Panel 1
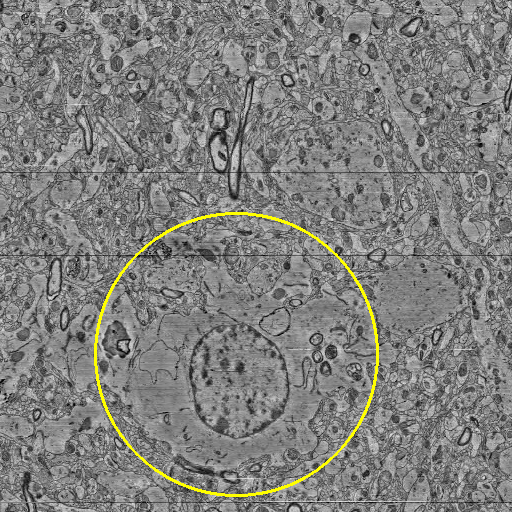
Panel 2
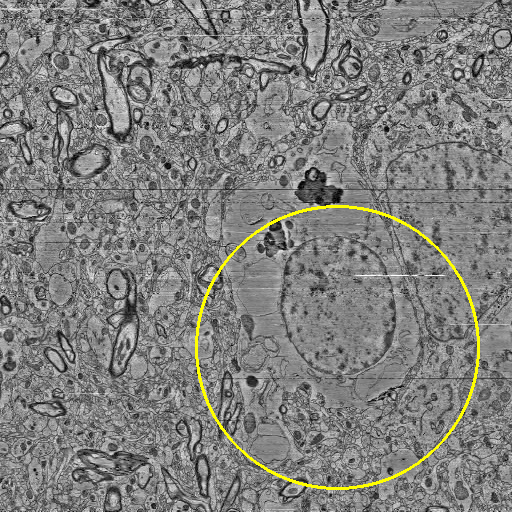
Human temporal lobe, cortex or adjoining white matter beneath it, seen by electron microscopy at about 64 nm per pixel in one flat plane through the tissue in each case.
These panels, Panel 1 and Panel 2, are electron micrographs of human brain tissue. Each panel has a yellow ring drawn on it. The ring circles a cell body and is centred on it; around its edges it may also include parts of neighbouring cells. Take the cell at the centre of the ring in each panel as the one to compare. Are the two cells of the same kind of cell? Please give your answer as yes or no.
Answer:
yes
